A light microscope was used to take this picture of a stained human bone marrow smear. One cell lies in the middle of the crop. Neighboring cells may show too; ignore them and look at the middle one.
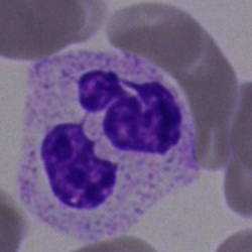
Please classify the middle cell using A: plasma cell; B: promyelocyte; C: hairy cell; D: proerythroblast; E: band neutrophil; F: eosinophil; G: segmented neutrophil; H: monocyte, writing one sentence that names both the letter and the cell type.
Since the cell in the centre is a segmented neutrophil, the correct option is G.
